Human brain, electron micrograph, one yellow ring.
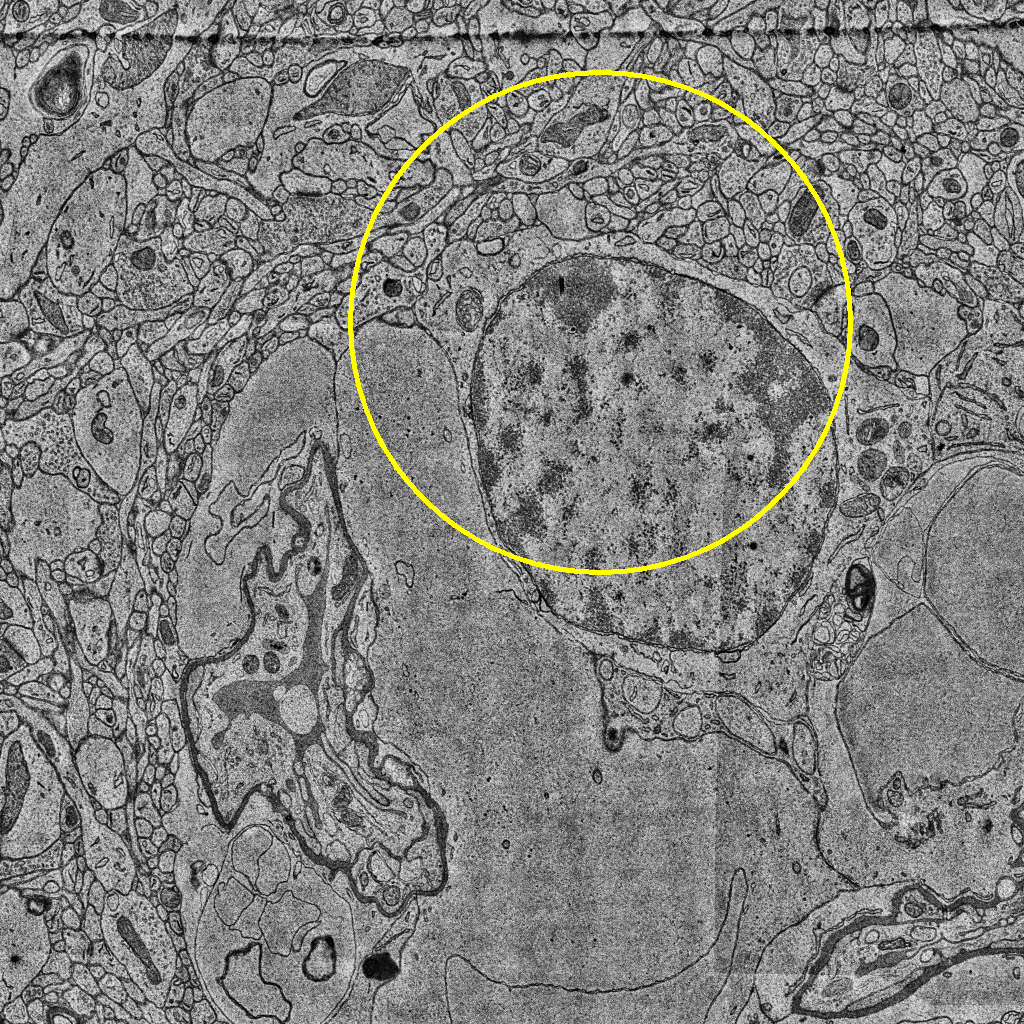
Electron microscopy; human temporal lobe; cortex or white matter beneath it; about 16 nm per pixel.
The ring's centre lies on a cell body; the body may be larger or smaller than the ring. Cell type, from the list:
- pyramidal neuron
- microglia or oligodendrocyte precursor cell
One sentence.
The yellow ring's centre lies on a microglial cell or oligodendrocyte precursor cell.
